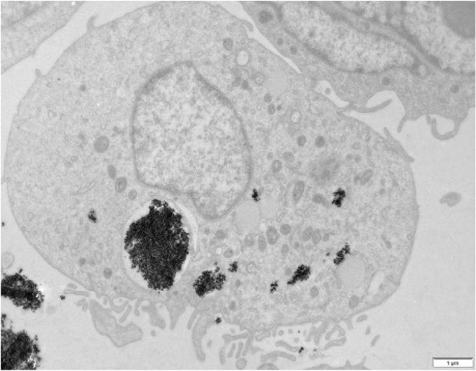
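This is a macrophage in section with a rounded nucleus in its upper part and short surface projections along its lower border. Below the nucleus the cytoplasm holds a large, very dense dark granular clump enclosed in a round, membrane-bounded vacuole, with smaller dark particles scattered nearby. The rest of the cytoplasm contains many small round vesicles and organelles.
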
